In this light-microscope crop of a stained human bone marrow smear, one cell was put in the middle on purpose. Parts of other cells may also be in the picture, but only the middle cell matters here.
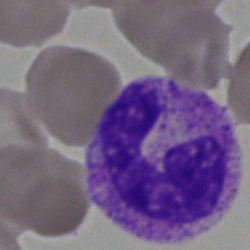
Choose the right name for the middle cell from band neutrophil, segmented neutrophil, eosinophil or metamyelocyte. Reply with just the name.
segmented neutrophil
